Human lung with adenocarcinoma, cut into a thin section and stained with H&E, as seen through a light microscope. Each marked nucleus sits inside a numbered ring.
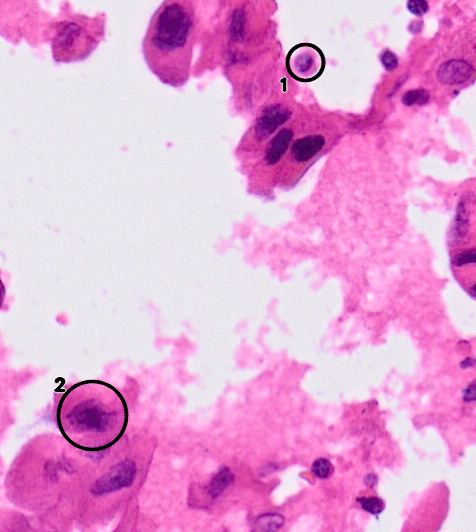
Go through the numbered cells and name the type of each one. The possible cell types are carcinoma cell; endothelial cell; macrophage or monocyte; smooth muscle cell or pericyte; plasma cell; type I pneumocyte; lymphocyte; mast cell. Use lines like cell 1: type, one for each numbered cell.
cell 1: lymphocyte
cell 2: carcinoma cell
